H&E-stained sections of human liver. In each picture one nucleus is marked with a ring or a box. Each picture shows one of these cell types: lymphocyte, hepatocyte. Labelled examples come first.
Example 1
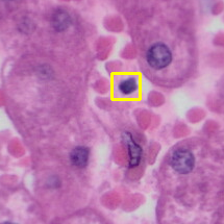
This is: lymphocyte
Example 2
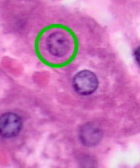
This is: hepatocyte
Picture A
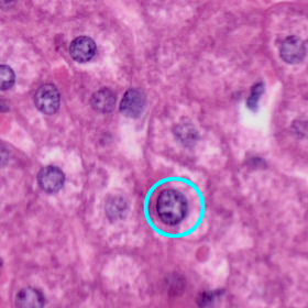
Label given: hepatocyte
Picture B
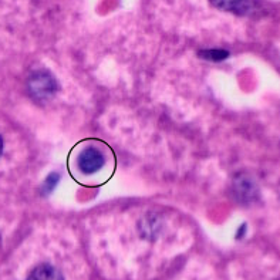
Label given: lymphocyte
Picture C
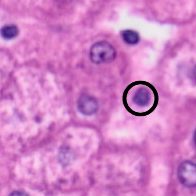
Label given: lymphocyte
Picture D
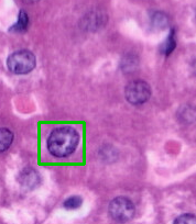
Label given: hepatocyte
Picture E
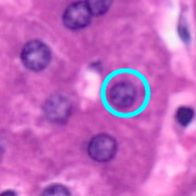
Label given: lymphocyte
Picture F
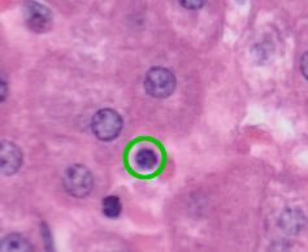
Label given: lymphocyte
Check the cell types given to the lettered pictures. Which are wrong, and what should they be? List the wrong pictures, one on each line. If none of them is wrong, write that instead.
E: not lymphocyte but hepatocyte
